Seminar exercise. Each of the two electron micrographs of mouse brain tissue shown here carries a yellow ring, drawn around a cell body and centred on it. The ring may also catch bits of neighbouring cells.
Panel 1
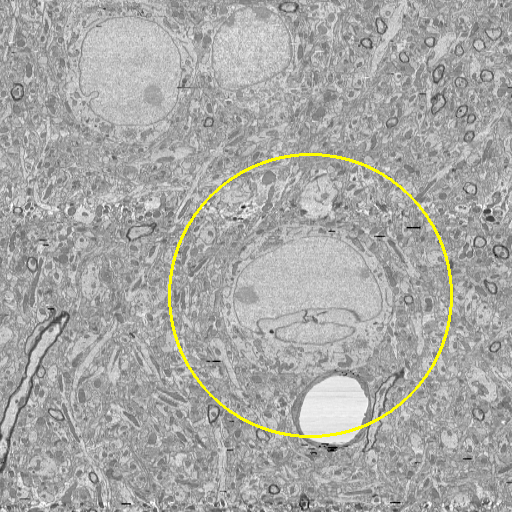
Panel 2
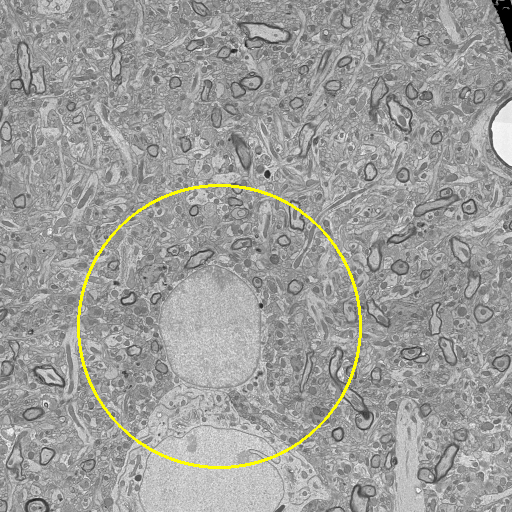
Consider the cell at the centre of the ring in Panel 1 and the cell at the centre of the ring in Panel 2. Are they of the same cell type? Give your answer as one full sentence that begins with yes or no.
No, the two cells are of two types.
